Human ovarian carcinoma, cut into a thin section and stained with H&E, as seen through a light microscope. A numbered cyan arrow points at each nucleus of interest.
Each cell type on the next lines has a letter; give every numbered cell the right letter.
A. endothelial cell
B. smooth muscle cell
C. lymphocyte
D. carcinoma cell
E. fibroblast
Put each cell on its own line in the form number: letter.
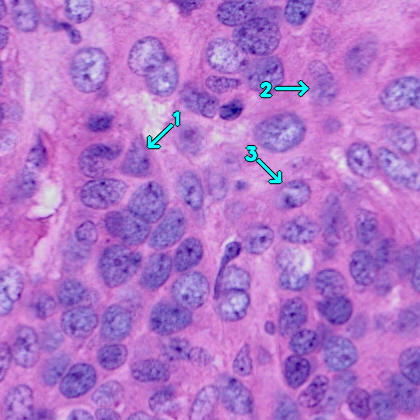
1: D
2: E
3: E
